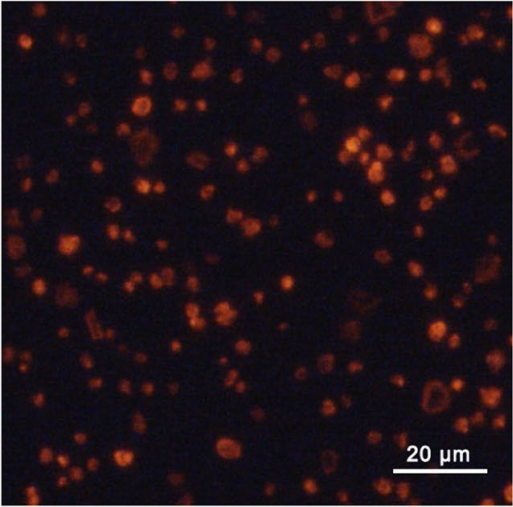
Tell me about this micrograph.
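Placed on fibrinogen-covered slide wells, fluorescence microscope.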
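Most appear as round orange dots of similar size scattered across the dark field, only a few showing a slightly larger ring-like outline. Few cells show the flattened, angular shapes with projections that mark spreading.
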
